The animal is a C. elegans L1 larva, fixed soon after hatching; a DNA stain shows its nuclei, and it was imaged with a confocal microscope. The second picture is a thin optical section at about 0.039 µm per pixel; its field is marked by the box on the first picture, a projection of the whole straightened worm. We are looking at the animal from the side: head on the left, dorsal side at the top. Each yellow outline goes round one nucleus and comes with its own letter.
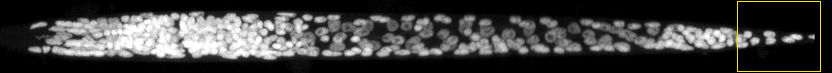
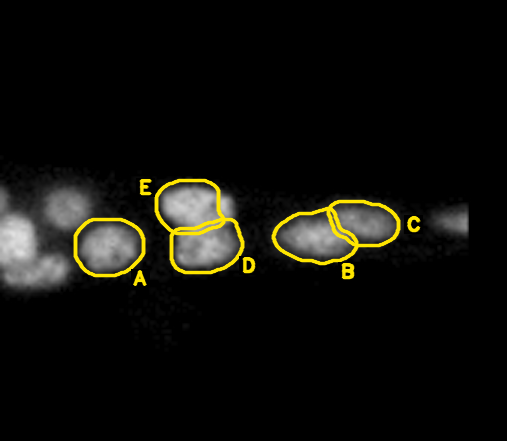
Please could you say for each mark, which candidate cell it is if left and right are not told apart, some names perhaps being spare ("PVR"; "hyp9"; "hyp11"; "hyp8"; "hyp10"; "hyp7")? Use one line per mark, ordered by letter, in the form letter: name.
A: hyp7
B: hyp9
C: hyp10
D: hyp8
E: hyp11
